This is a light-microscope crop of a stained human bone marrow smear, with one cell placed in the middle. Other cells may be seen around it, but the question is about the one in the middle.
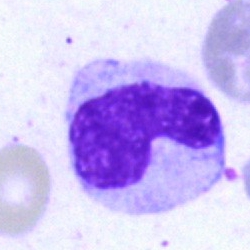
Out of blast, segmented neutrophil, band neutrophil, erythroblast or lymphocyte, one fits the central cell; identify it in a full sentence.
By classification, the middle cell of this crop is a band neutrophil.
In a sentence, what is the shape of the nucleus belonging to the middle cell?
Its nucleus is compact and single, with a round, oval or kidney-shaped form.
